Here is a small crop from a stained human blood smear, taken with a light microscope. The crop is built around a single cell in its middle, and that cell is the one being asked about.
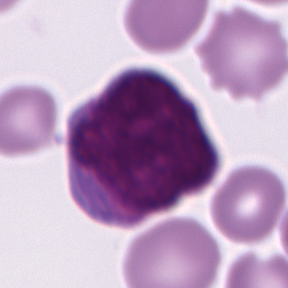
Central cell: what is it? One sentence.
What sits at the centre of this crop is a myeloblast.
